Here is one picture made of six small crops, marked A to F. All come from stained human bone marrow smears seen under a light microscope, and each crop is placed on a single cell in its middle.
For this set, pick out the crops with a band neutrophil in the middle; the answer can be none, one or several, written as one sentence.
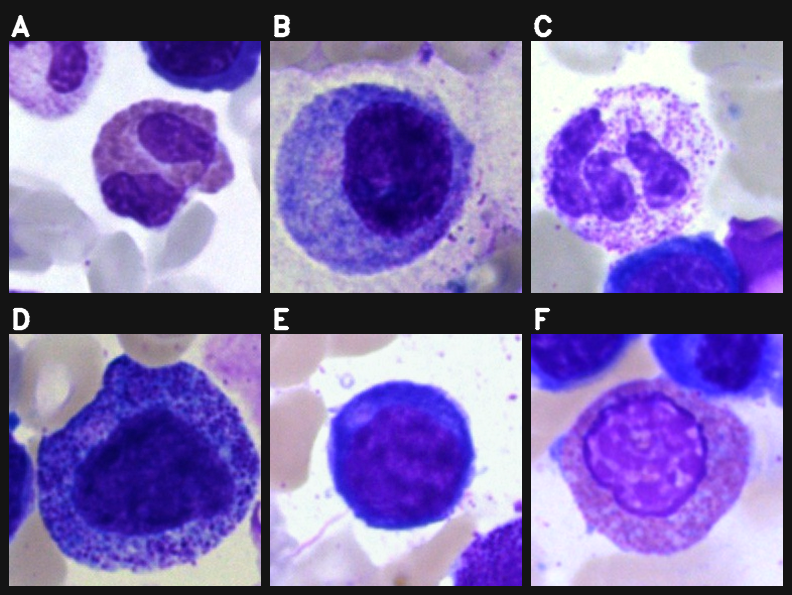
Nope, not one of these cells is a band neutrophil.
